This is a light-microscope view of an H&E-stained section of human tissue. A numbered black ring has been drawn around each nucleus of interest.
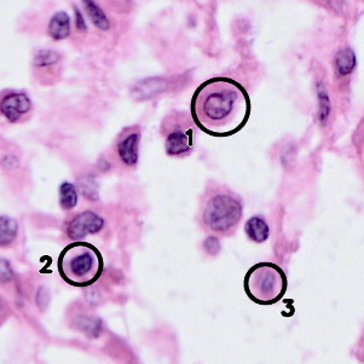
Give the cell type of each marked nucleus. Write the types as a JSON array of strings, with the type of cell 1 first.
["macrophage or monocyte", "lymphocyte", "macrophage or monocyte"]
